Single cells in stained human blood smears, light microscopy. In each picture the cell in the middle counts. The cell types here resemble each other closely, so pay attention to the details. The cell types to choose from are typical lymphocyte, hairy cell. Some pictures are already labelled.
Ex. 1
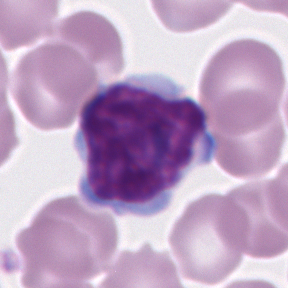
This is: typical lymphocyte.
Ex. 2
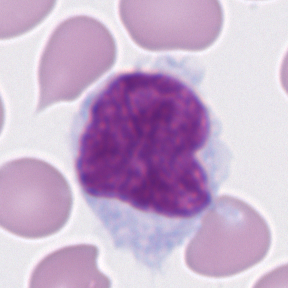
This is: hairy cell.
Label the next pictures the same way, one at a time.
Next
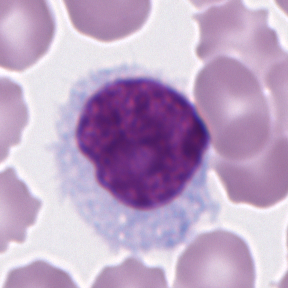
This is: hairy cell.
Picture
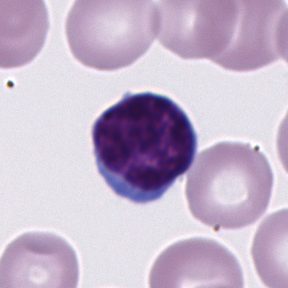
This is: typical lymphocyte.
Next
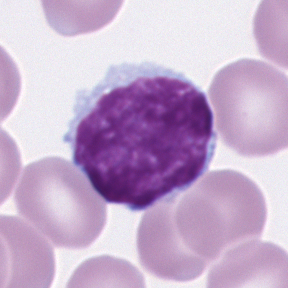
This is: typical lymphocyte.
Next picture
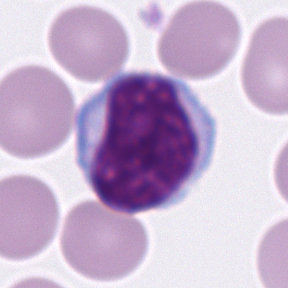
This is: typical lymphocyte.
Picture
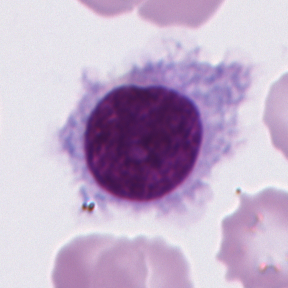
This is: hairy cell.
